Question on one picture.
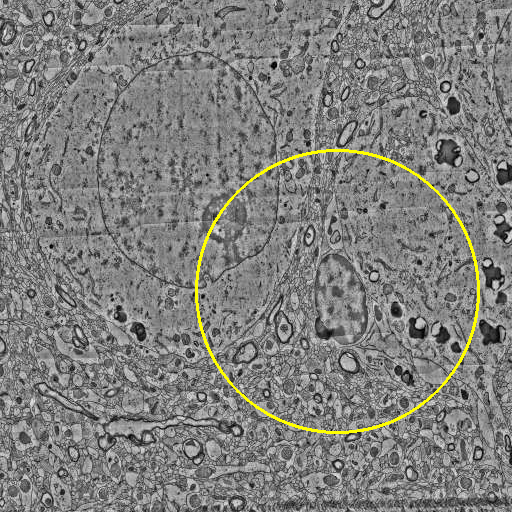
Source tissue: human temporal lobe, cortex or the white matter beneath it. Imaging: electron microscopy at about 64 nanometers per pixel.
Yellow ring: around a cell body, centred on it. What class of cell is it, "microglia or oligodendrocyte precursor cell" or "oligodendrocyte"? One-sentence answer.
This is a microglial cell or oligodendrocyte precursor cell, the cell the ring is centred on.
